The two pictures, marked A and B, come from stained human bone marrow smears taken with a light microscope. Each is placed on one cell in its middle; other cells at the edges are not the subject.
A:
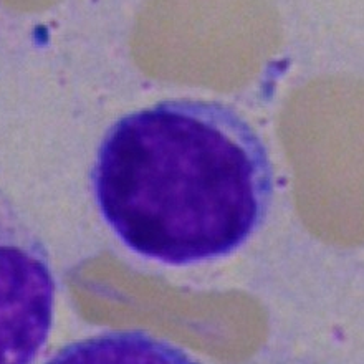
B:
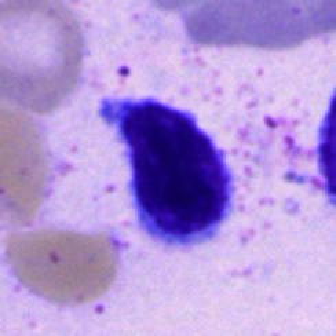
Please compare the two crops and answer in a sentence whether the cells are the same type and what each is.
Yes, shown in both crops are lymphocytes.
